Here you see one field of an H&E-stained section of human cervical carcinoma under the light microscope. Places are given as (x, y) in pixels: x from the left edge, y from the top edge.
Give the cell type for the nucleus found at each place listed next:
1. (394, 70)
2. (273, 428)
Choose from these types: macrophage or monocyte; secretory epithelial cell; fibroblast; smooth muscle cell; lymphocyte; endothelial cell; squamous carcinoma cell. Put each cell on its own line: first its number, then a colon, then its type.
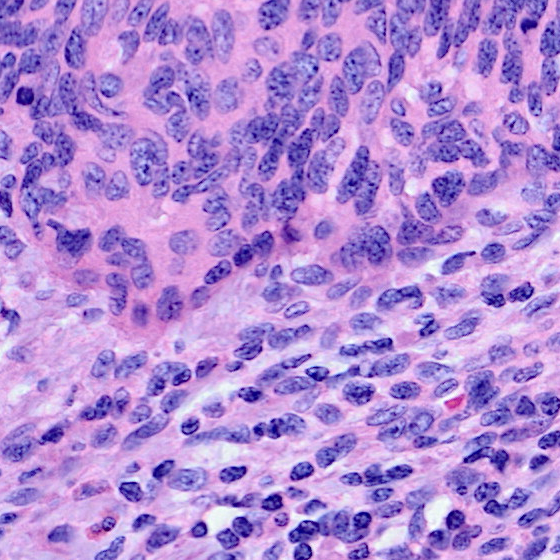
1: squamous carcinoma cell
2: lymphocyte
